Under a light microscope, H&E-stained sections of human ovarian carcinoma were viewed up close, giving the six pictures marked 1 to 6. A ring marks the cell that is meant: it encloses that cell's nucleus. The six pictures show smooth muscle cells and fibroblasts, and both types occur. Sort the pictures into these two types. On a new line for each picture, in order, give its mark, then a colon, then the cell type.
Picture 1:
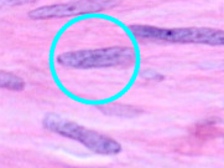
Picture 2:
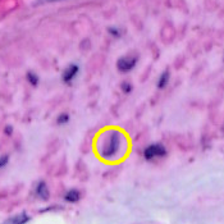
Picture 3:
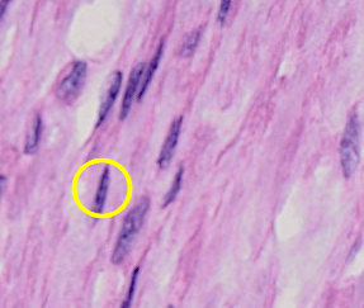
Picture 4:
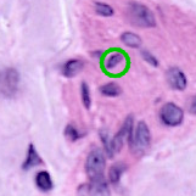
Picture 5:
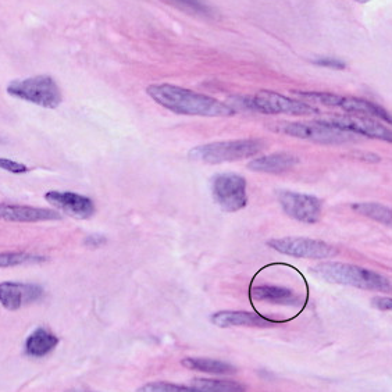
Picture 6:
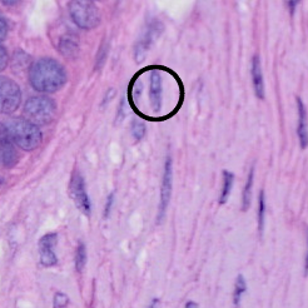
1: smooth muscle cell
2: smooth muscle cell
3: fibroblast
4: smooth muscle cell
5: smooth muscle cell
6: fibroblast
